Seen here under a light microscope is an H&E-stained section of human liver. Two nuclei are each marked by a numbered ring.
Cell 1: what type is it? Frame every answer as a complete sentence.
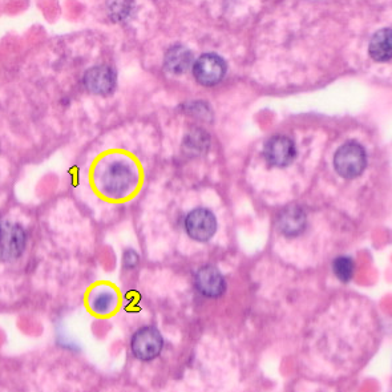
The marked cell bearing number 1 is a hepatocyte.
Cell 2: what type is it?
The marked nucleus 2 is that of a lymphocyte.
